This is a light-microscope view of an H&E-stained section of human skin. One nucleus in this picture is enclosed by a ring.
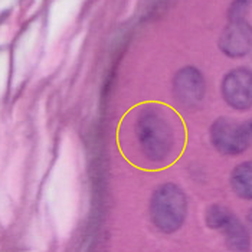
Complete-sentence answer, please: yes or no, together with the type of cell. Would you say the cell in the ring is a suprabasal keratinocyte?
Yes, regarding cell type, the cell in the ring is a suprabasal keratinocyte.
